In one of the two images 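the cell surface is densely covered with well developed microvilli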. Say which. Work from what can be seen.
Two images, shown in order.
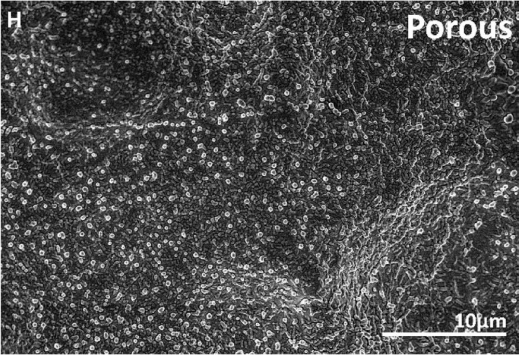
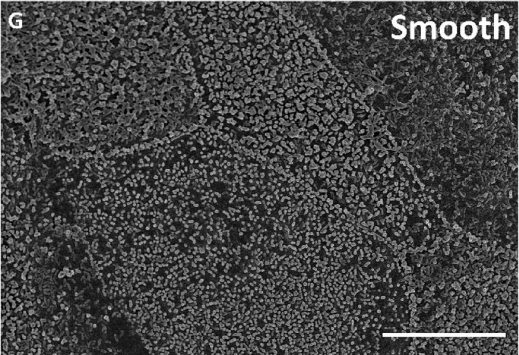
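The second image. Second image: crowded, tightly packed projections cover nearly the whole surface.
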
